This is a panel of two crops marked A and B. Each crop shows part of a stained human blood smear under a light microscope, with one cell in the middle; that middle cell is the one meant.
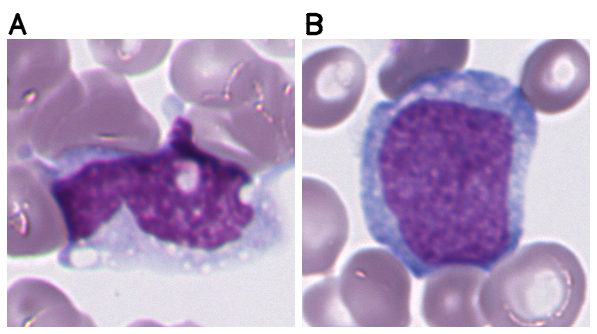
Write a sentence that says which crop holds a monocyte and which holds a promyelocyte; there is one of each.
Taken crop by crop, crop A is a monocyte and crop B is a promyelocyte.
